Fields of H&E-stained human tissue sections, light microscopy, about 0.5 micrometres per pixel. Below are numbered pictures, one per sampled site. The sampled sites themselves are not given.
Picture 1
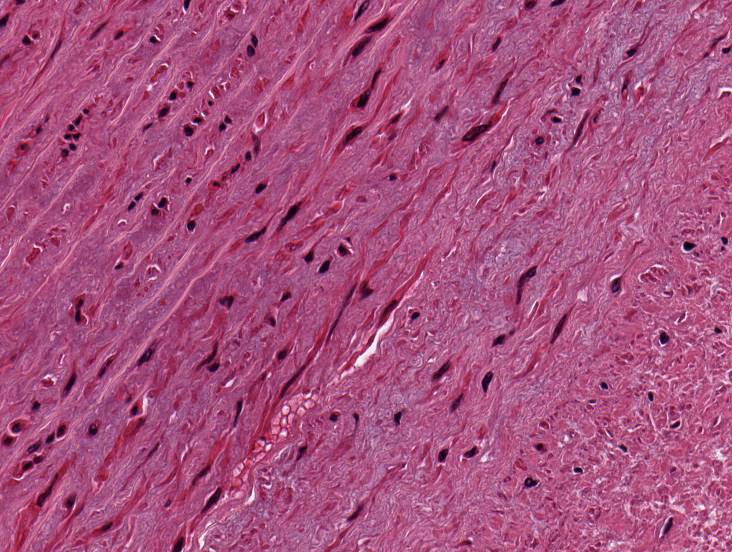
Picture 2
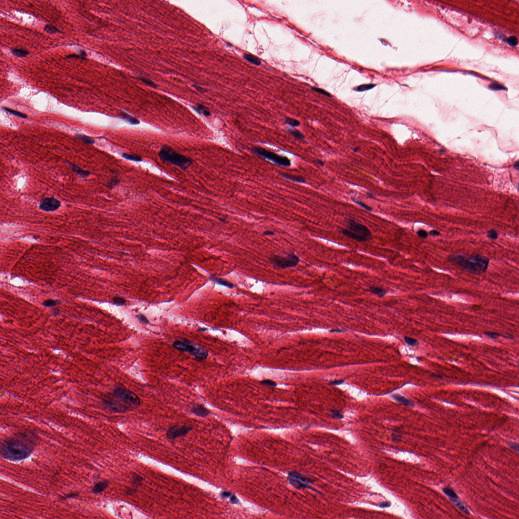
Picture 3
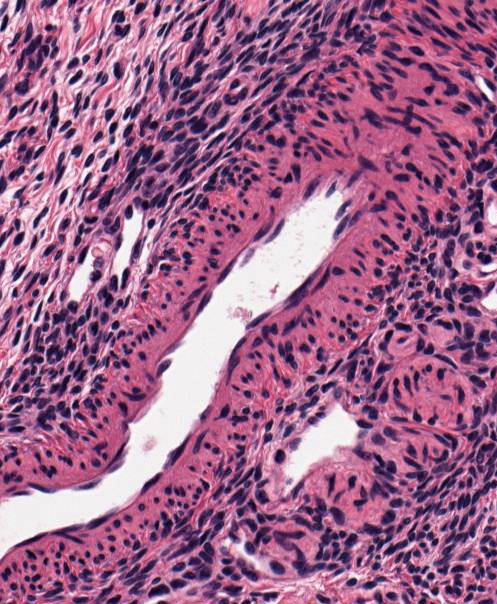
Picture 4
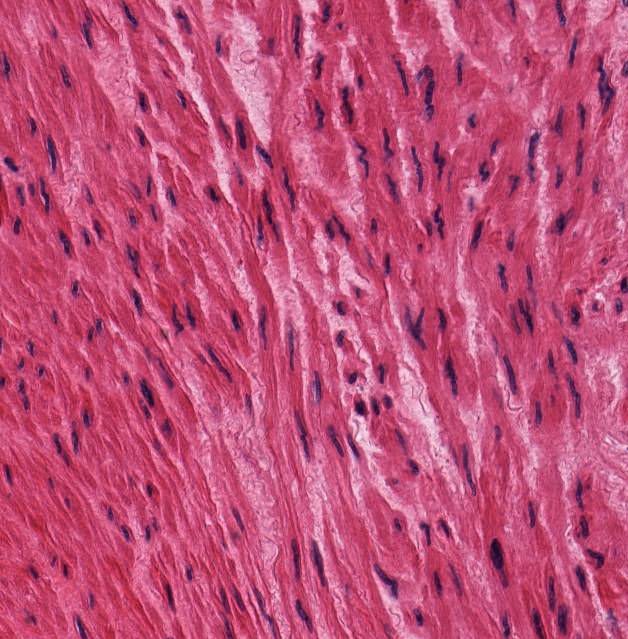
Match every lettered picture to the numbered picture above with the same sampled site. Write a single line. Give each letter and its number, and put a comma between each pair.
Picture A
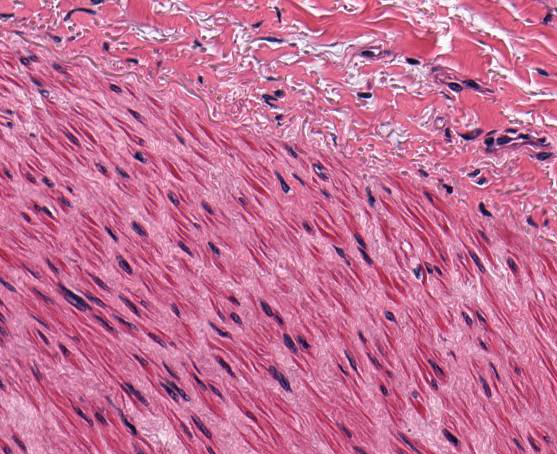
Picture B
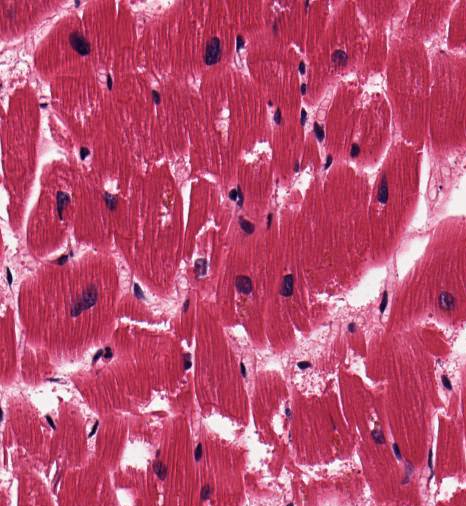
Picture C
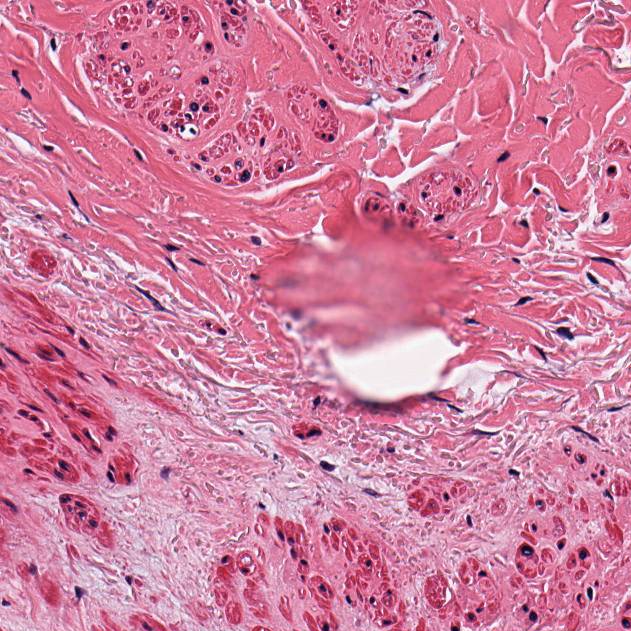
A 4, B 2, C 4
